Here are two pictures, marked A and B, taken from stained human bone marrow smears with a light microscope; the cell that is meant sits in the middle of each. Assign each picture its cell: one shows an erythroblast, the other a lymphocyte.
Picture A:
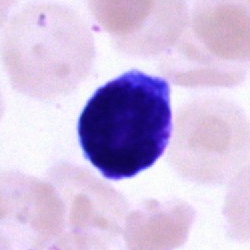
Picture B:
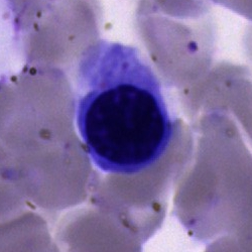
A: lymphocyte
B: erythroblast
